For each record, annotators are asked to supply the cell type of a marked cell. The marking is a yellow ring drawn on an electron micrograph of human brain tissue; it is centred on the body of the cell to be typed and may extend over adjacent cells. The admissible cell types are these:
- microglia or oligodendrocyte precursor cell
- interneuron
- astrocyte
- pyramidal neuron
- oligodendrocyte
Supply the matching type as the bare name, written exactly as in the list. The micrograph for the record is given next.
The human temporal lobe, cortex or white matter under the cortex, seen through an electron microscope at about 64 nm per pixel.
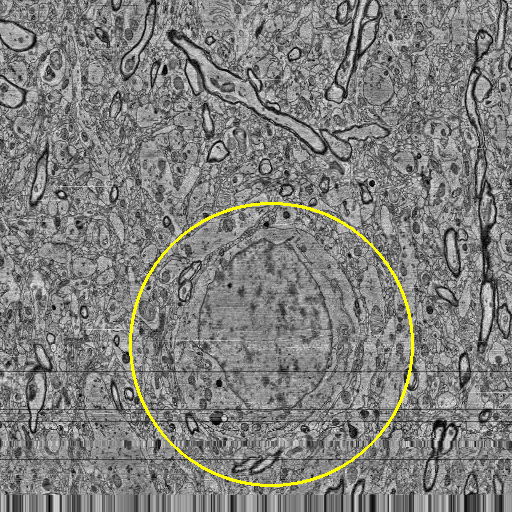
interneuron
